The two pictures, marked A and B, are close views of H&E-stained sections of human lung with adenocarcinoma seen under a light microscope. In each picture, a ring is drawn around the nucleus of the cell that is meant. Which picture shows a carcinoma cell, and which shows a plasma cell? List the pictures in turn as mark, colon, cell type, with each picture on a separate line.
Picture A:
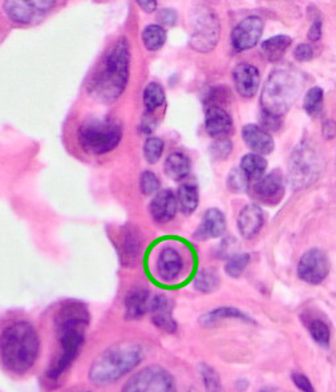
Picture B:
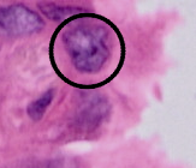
A: plasma cell
B: carcinoma cell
